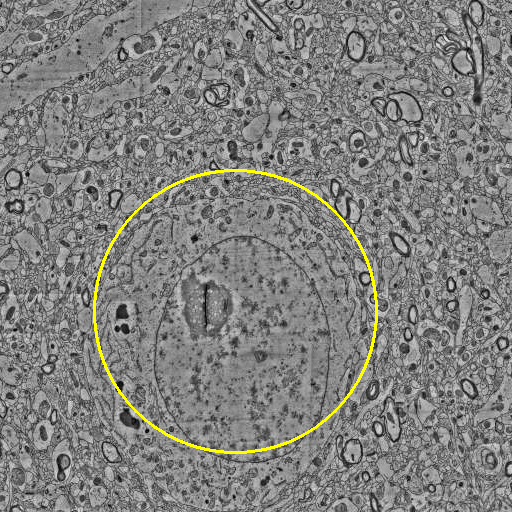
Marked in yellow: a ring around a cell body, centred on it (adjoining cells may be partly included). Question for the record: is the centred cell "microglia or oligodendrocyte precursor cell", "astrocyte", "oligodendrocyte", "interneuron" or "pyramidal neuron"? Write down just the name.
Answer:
pyramidal neuron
